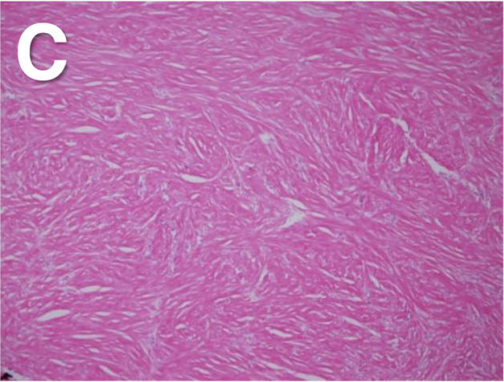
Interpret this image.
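This field shows fibrous tissue with hyperplasia of collagen fibers. Dense pink collagen bundles fill the whole field and run in wavy, interlacing fascicles. Nuclei are few, thin and elongated, lying along the fibers. Only scattered small slit-like spaces interrupt the dense fibrous tissue.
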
